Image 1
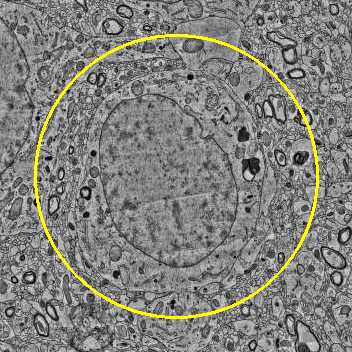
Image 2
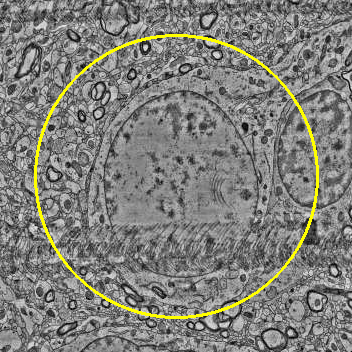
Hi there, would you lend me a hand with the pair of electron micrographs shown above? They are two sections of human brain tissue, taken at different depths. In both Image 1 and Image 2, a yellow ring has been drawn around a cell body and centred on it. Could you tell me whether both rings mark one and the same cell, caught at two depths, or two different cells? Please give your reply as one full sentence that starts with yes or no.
No, the marked cells are two, not one.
